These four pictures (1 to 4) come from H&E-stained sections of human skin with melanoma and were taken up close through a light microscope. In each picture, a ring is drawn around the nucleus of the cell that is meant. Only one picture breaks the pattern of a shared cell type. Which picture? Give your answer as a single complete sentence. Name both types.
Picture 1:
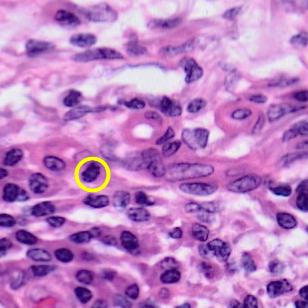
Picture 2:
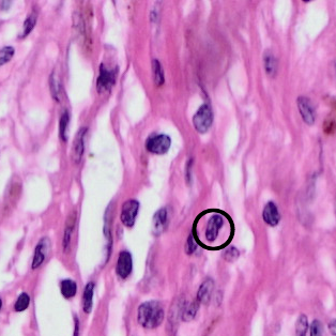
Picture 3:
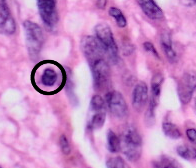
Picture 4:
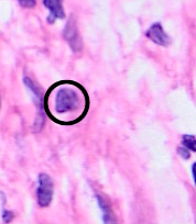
Picture 1 differs, because its cell is a plasma cell and the rest are lymphocytes.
